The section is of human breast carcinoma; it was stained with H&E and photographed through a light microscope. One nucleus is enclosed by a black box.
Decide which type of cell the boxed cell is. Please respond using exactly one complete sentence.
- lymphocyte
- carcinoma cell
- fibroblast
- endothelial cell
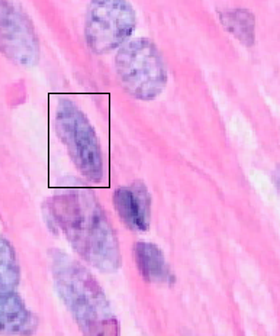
In the tissue at hand, the boxed cell is an endothelial cell.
